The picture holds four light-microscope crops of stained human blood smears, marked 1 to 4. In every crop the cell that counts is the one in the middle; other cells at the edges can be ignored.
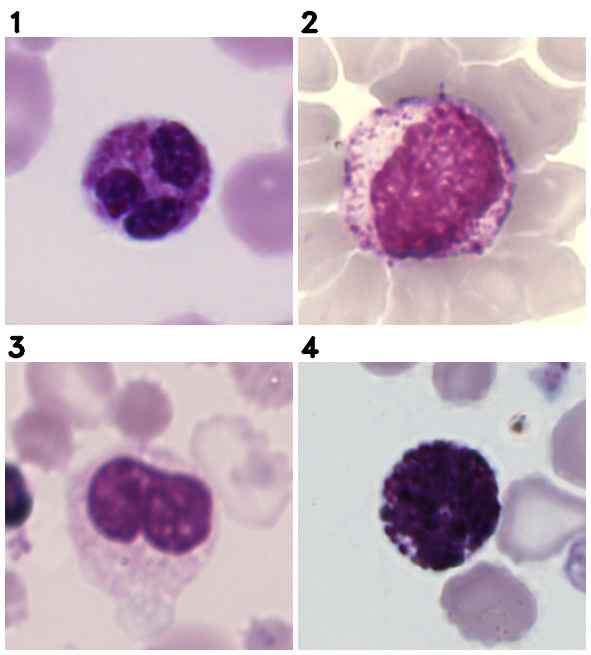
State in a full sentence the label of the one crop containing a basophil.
Of the crops given, a basophil is found in crop 4.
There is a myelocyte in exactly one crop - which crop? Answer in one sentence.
Crop 2 is the right one; it is the crop showing a myelocyte.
